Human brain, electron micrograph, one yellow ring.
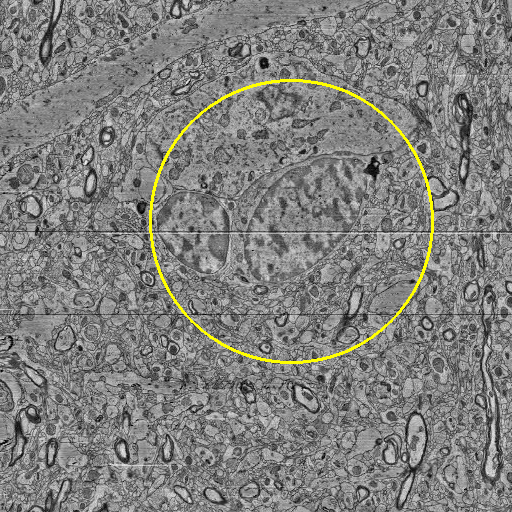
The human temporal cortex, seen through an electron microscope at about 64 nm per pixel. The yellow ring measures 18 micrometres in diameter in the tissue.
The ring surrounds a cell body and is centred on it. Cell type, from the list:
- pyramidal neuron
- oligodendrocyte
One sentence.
The yellow ring circles an oligodendrocyte.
